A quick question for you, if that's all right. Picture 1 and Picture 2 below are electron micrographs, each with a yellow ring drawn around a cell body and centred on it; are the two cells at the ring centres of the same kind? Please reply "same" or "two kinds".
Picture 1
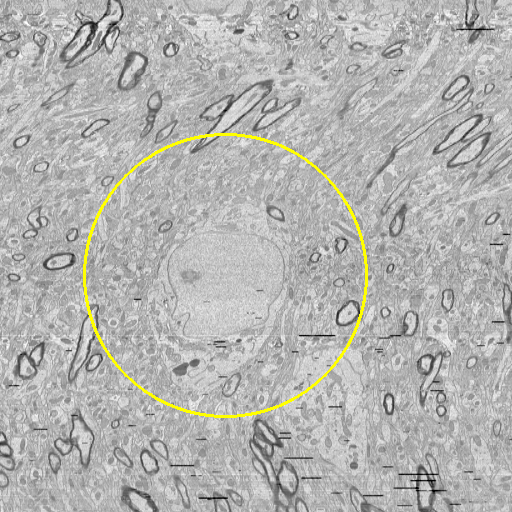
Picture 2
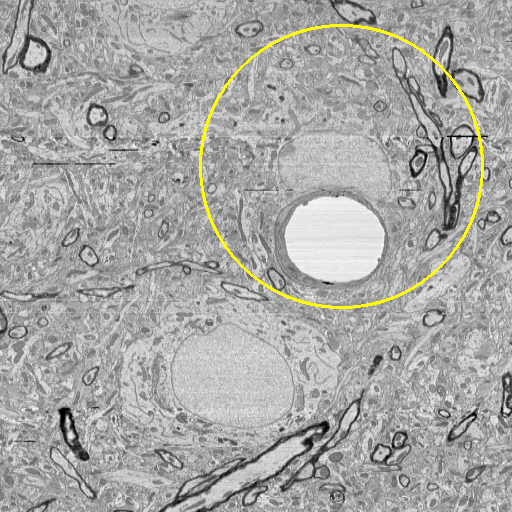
two kinds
